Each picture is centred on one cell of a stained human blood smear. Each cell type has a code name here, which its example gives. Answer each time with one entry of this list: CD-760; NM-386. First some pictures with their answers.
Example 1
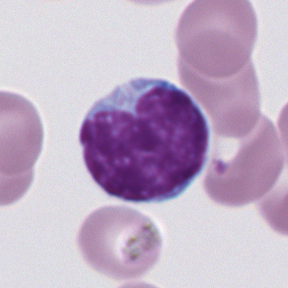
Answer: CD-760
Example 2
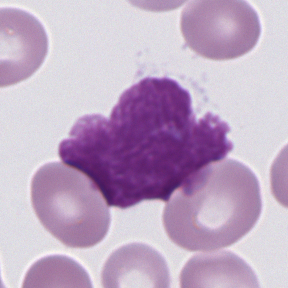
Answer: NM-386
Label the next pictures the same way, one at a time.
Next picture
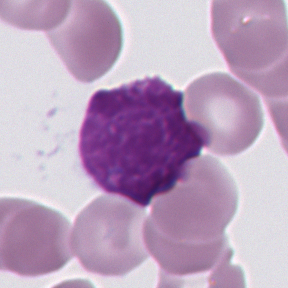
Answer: NM-386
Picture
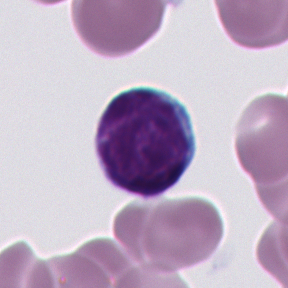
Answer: CD-760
